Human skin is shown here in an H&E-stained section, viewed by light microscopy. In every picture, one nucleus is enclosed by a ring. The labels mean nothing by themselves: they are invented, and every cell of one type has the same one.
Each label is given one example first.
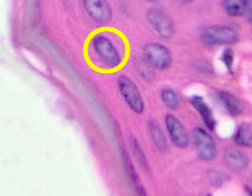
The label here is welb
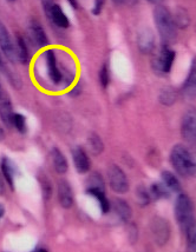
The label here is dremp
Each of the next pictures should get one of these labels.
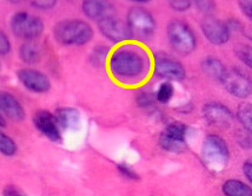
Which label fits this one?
dremp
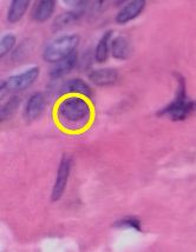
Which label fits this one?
dremp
